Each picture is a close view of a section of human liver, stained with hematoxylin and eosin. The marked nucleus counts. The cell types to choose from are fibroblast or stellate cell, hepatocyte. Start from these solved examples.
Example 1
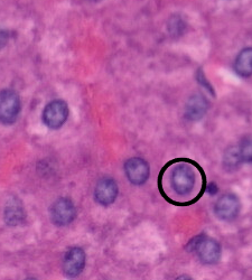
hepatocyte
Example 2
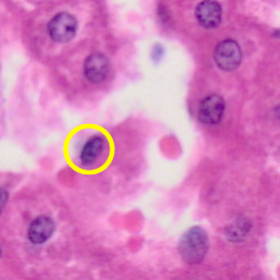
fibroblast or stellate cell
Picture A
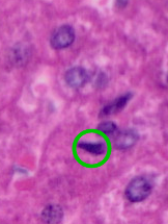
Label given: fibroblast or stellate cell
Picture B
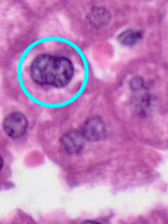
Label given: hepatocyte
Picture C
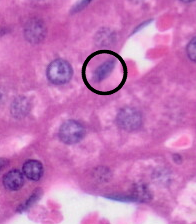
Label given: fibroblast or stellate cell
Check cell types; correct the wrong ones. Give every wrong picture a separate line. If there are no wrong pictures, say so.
All labels are correct.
